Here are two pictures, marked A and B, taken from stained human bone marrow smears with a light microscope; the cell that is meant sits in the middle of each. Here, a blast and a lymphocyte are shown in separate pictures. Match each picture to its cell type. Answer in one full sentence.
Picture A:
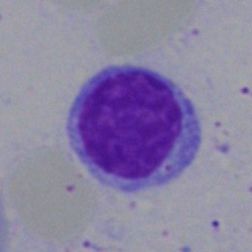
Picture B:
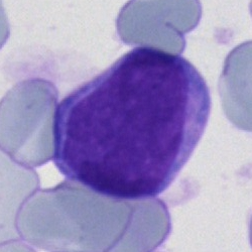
Picture A is of a lymphocyte, and picture B is of a blast.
